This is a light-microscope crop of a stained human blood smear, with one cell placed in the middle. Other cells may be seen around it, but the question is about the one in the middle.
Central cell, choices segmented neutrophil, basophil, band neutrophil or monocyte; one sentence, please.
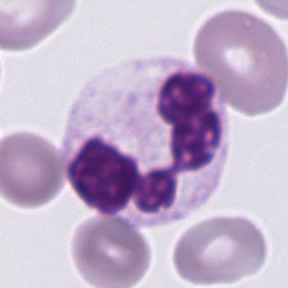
The cell featured at the centre of this crop is a segmented neutrophil.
